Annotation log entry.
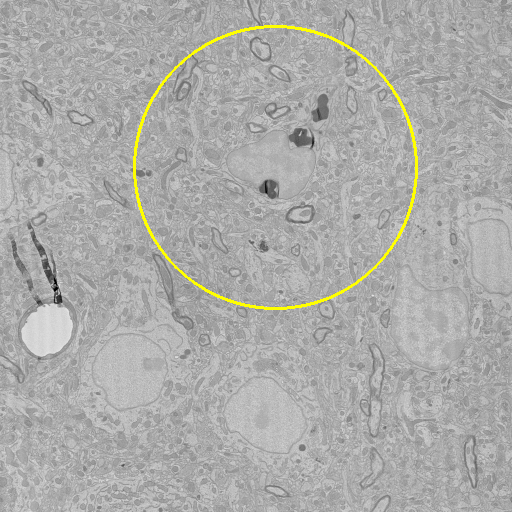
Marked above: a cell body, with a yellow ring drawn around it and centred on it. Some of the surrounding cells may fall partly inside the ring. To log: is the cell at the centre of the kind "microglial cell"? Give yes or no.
Yes, the cell at the centre is of that kind.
